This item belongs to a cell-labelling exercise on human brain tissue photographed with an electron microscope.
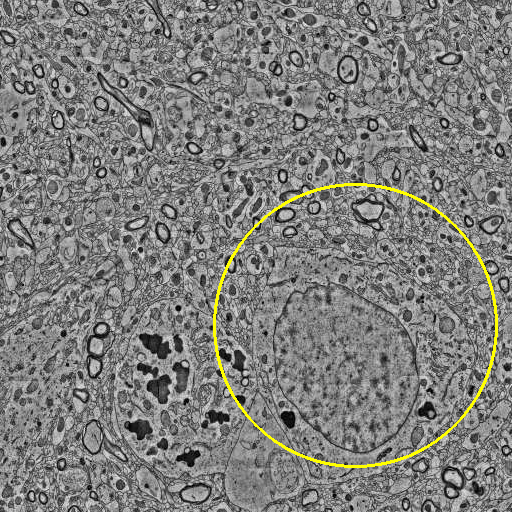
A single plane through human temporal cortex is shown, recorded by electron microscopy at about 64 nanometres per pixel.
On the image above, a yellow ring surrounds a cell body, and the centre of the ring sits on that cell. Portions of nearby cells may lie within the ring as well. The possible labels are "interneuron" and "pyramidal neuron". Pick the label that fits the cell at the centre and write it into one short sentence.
This cell should be labelled as a pyramidal neuron.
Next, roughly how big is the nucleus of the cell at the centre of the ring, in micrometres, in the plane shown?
In this plane, the nucleus is roughly 11 by 9 micrometres.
